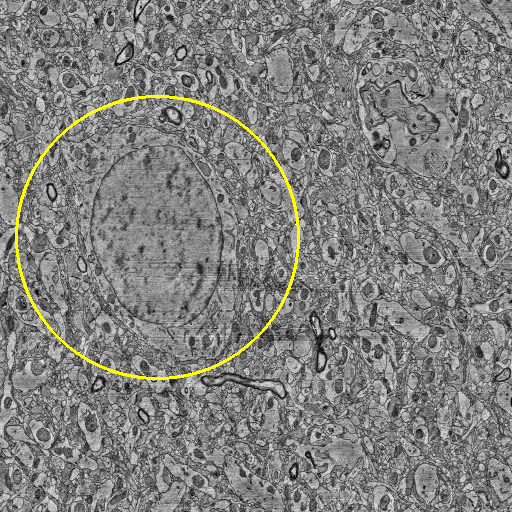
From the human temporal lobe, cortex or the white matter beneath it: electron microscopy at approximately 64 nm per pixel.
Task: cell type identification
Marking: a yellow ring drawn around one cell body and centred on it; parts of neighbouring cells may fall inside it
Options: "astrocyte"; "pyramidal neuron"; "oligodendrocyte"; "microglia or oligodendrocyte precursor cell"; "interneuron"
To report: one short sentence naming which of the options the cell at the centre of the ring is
The cell at the centre of the ring is a pyramidal neuron.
